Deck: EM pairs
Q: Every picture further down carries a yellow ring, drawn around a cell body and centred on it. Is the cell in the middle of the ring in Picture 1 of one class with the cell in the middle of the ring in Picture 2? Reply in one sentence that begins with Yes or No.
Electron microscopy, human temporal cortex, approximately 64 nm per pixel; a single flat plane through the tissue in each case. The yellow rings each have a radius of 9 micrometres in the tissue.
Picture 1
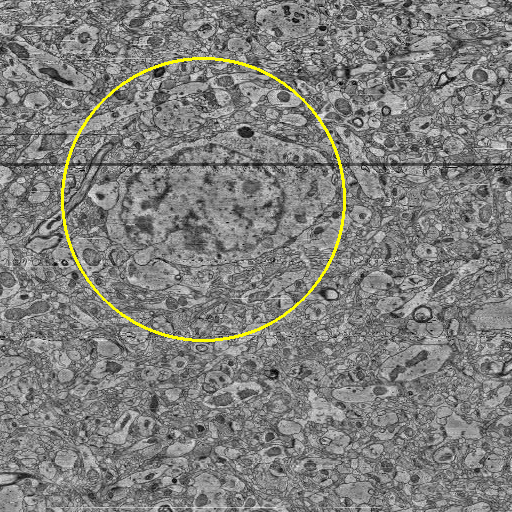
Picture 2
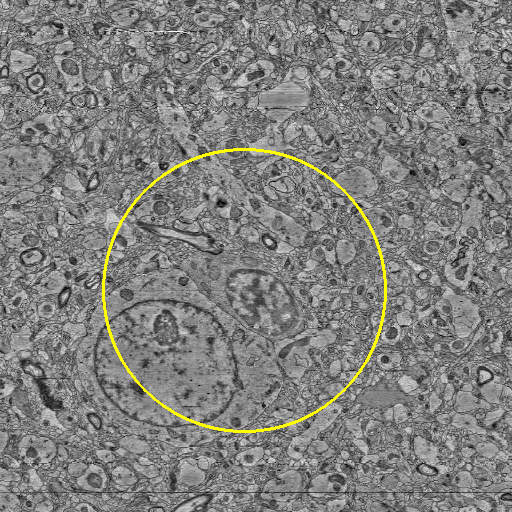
No, the cell centred in the ring of Picture 1 and the one in Picture 2 belong to separate classes.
